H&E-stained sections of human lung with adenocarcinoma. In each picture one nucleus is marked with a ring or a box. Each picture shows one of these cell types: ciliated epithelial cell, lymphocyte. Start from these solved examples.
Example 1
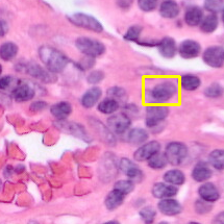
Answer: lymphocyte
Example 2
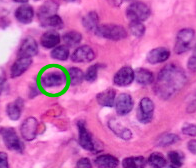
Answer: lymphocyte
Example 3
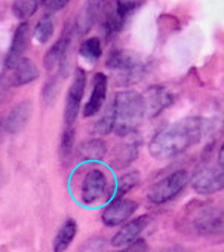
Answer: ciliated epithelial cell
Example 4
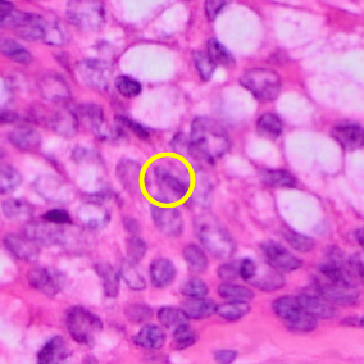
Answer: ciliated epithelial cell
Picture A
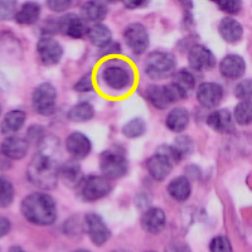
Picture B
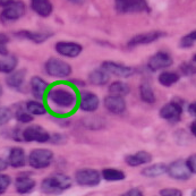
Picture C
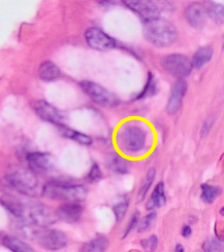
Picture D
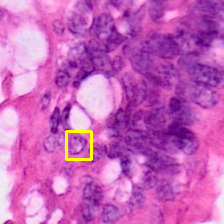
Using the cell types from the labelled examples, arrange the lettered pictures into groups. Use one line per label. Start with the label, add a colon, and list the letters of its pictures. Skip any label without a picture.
ciliated epithelial cell: C, D
lymphocyte: A, B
